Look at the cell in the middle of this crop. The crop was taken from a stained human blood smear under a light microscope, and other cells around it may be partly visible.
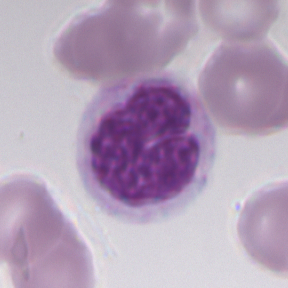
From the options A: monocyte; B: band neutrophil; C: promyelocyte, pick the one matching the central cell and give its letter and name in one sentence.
Answer key: option B, the middle cell being a band neutrophil.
